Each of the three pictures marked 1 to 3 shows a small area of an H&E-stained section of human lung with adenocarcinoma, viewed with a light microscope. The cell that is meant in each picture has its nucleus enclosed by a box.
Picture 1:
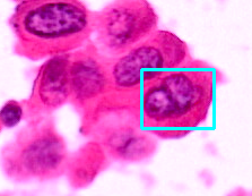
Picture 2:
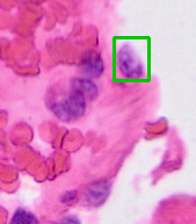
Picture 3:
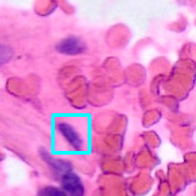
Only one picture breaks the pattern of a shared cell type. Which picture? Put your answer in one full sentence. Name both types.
Picture 1 is the odd one out: it shows a carcinoma cell, while the others show type I pneumocytes.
